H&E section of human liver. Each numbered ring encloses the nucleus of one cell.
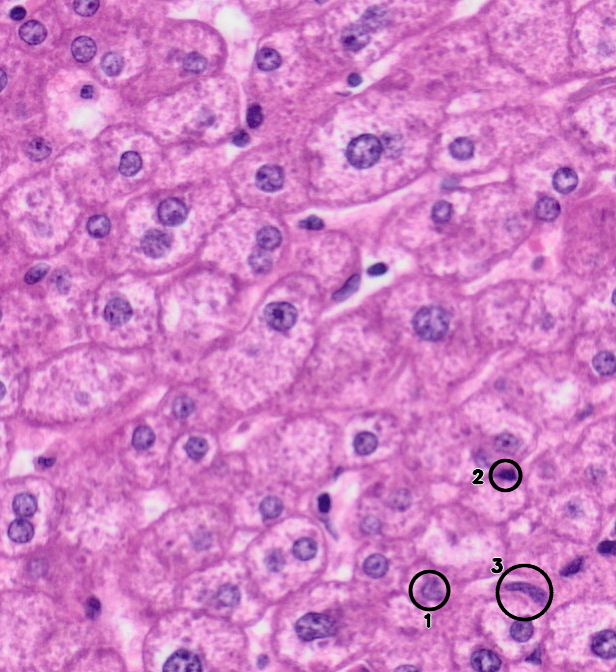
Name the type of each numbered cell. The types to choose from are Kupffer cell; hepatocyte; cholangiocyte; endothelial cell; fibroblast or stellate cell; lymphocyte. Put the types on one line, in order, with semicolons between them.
hepatocyte; fibroblast or stellate cell; Kupffer cell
